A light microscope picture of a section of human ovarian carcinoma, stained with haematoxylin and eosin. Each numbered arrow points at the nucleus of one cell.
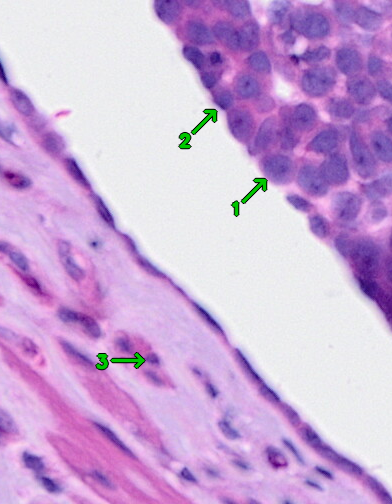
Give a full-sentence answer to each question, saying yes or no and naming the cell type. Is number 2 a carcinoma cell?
Yes, the cell tagged with number 2 is a carcinoma cell.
